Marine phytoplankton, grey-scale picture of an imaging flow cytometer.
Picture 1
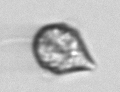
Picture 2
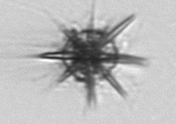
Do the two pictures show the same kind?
No: Scrippsiella, then a radiolarian.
